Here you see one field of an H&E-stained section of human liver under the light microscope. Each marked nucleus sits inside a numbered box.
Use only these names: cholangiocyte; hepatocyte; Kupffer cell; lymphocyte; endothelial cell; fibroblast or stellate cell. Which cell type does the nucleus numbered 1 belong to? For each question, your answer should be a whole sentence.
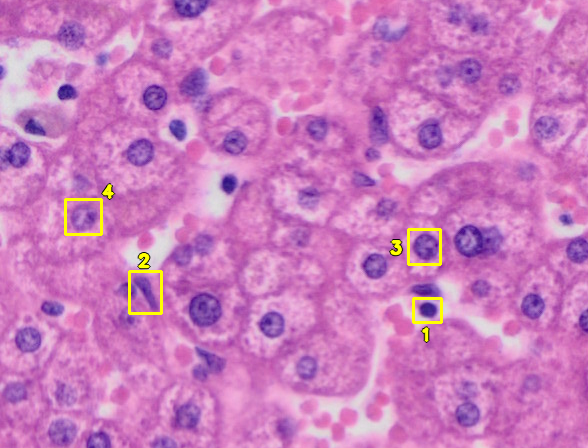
Identified as a lymphocyte is the cell bearing the number 1.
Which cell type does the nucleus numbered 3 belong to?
Corresponding to a hepatocyte is the cell labelled 3.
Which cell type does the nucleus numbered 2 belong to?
Cell 2 in the field of view is a Kupffer cell.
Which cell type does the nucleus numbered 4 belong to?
At number 4, the marked cell is a hepatocyte.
